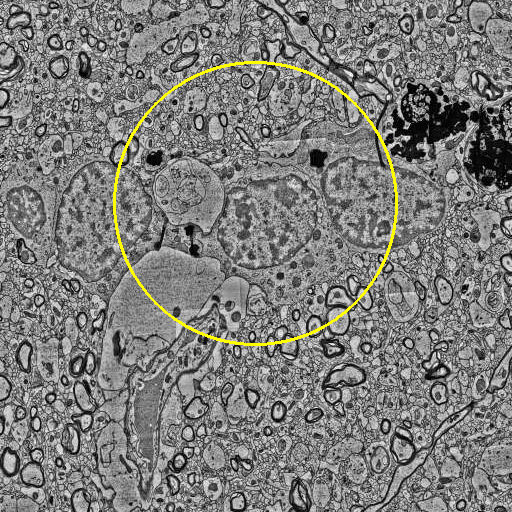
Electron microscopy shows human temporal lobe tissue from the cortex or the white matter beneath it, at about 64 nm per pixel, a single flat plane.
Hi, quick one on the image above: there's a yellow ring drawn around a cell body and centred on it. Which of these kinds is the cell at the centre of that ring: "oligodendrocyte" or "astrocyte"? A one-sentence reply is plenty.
The cell at the centre of the ring is an oligodendrocyte.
